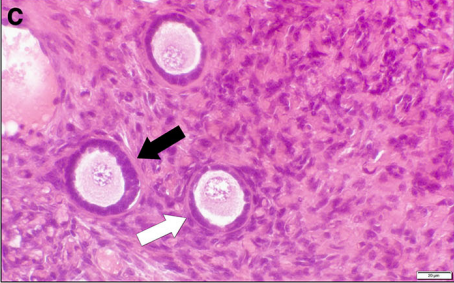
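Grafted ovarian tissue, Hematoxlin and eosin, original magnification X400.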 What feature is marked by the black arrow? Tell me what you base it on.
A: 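Primary follicle. A round pale central cell with a nucleus. A continuous ring of darker cuboidal cells around it.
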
